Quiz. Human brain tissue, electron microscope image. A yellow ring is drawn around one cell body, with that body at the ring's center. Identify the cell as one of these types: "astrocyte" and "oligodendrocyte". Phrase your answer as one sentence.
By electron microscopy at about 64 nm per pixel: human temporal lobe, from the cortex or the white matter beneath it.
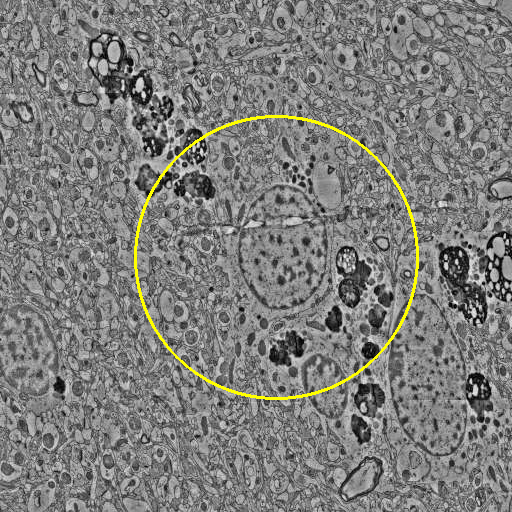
At the center of the ring sits an astrocyte.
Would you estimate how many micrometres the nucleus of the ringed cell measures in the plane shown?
The nucleus works out at approximately 8 by 6 micrometres in this plane.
